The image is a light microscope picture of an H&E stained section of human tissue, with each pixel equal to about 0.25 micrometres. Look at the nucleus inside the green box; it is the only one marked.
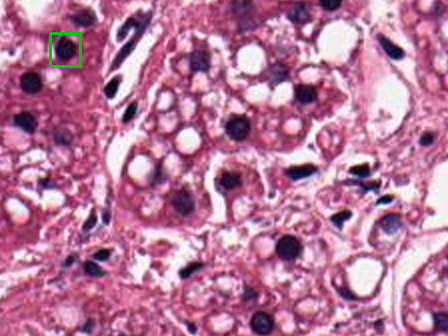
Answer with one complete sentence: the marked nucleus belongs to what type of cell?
The nucleus picked out by the mark is that of an adrenal cortical cell.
